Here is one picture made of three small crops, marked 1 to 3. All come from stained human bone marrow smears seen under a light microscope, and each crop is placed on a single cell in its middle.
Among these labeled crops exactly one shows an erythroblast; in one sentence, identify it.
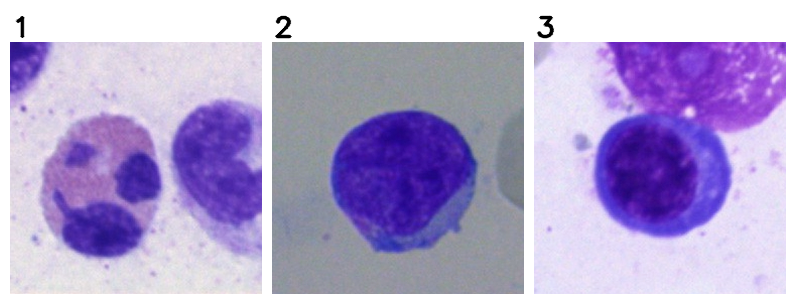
Selected crop: 3, which is the one that shows an erythroblast.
